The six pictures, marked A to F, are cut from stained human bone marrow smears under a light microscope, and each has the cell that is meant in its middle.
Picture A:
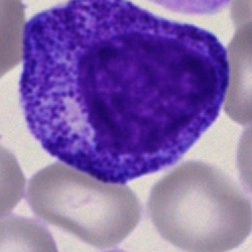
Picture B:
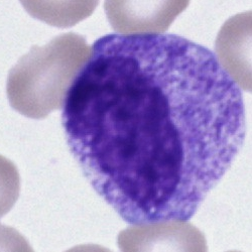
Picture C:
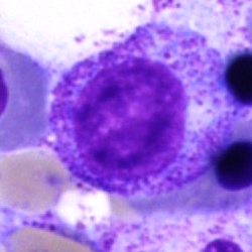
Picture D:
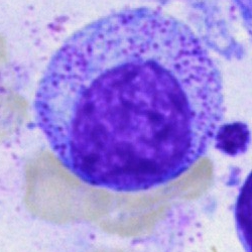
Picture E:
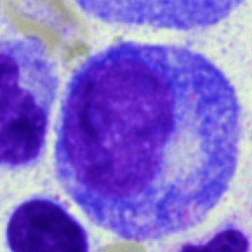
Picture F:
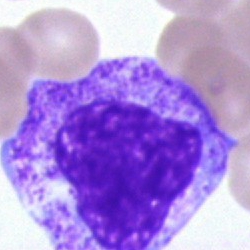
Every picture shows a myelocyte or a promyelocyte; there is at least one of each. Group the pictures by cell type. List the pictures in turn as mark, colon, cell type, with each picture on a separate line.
A: myelocyte
B: promyelocyte
C: myelocyte
D: myelocyte
E: promyelocyte
F: myelocyte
